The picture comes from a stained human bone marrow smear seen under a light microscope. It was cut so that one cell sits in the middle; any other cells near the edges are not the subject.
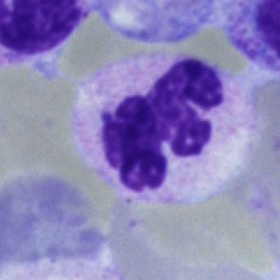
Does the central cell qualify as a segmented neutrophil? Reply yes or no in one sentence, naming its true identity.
Yes, the cell sitting in the center is a segmented neutrophil.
